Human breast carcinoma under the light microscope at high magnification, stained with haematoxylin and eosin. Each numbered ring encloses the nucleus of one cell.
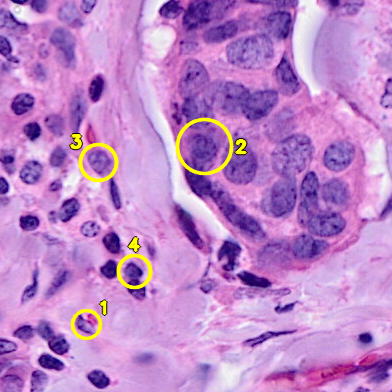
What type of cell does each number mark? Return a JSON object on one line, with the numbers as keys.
{"1": "endothelial cell", "2": "carcinoma cell", "3": "endothelial cell", "4": "lymphocyte"}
